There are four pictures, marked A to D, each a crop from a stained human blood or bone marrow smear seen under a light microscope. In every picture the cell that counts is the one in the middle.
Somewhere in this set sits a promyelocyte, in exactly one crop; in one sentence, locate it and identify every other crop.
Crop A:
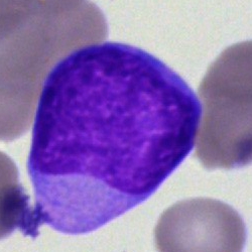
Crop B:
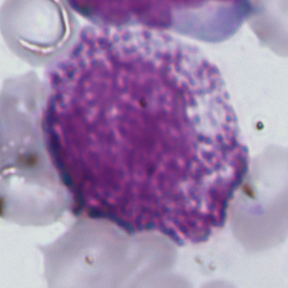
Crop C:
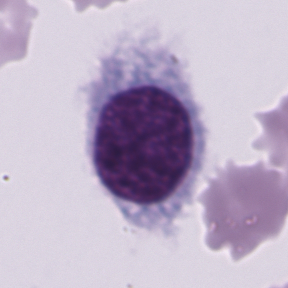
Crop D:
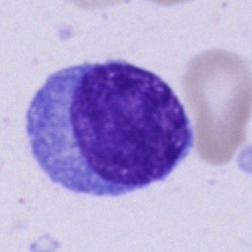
Crop B is a promyelocyte; as for the rest, crop A is a blast, crop C is a hairy cell and crop D is a plasma cell.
